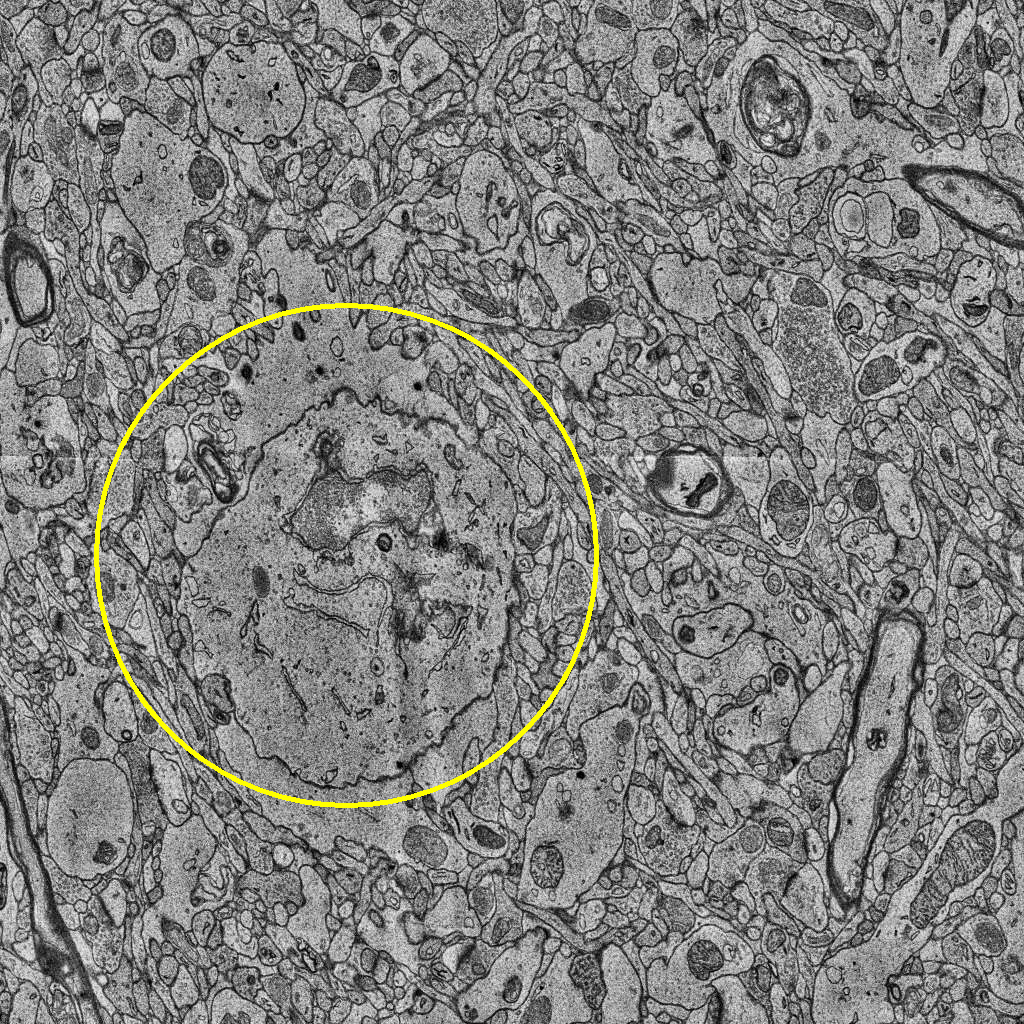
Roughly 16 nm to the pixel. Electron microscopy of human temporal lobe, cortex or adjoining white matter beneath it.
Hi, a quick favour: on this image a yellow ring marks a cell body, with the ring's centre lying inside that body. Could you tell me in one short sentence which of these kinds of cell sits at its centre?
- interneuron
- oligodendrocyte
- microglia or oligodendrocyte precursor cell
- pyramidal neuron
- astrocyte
The ring's centre lies in an interneuron.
